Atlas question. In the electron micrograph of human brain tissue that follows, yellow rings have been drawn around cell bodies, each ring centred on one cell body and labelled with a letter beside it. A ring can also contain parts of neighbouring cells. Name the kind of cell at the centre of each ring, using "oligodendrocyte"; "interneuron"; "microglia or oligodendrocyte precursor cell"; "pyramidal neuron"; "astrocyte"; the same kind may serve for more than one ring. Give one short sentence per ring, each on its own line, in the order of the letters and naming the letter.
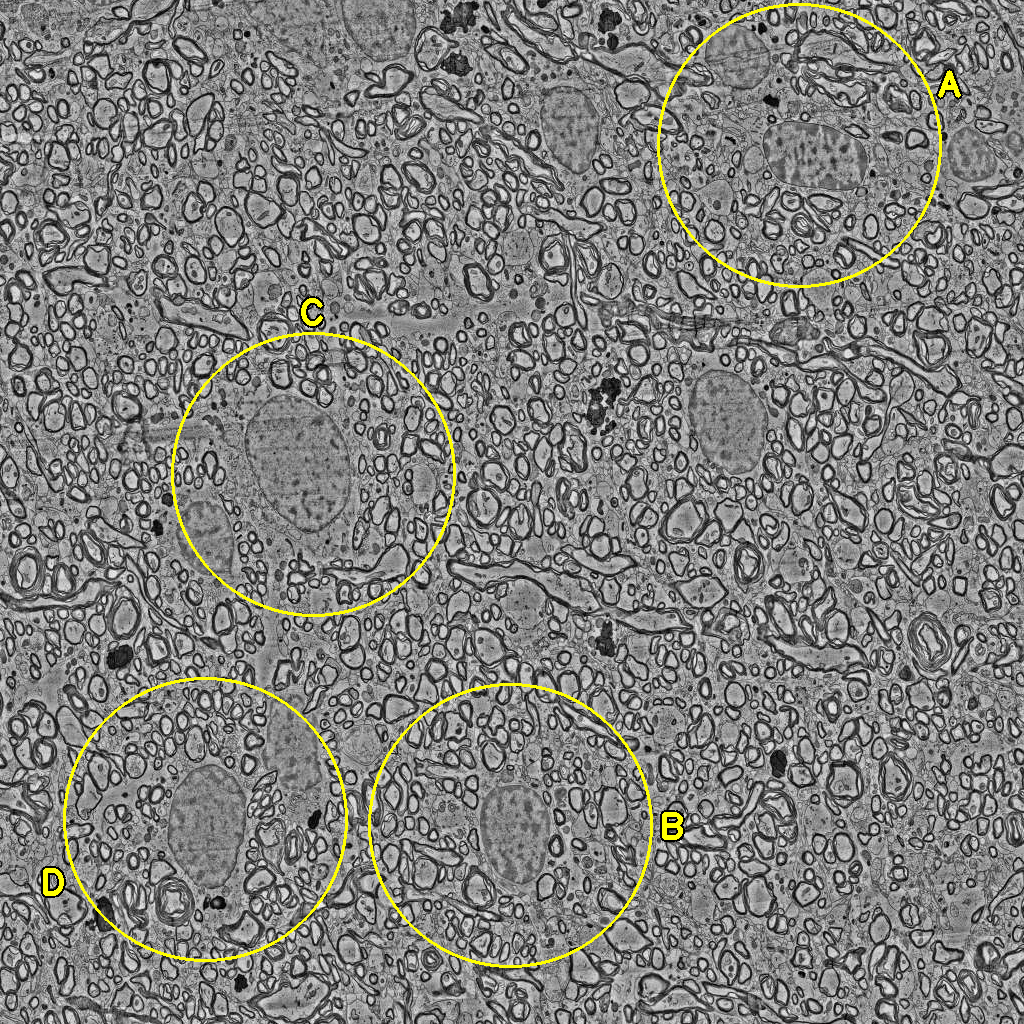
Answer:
For ring A, the cell at the centre is a microglial cell or oligodendrocyte precursor cell.
For ring B, the cell at the centre is an oligodendrocyte.
For ring C, the cell at the centre is an astrocyte.
For ring D, the cell at the centre is an oligodendrocyte.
